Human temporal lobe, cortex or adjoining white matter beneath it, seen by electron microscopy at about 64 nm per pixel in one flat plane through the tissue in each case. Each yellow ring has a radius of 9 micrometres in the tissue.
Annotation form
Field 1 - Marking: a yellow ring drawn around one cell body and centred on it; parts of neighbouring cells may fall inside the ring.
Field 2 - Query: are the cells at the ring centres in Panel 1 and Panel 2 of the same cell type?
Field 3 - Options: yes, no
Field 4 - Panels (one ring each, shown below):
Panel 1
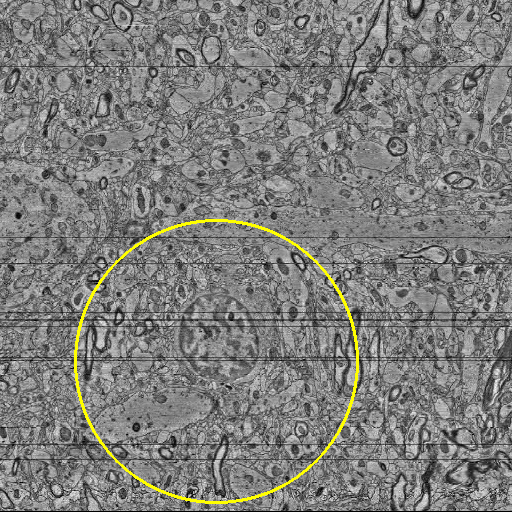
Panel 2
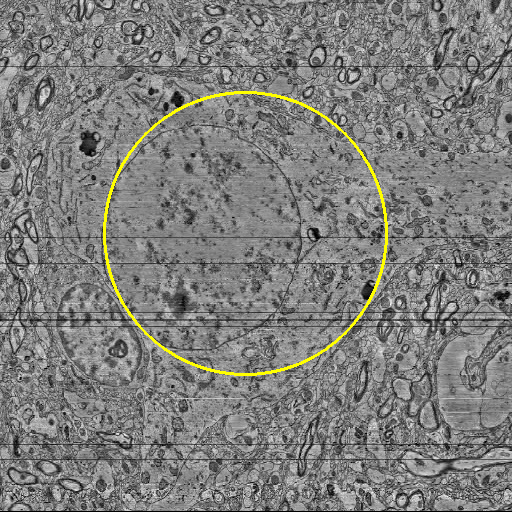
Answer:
no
